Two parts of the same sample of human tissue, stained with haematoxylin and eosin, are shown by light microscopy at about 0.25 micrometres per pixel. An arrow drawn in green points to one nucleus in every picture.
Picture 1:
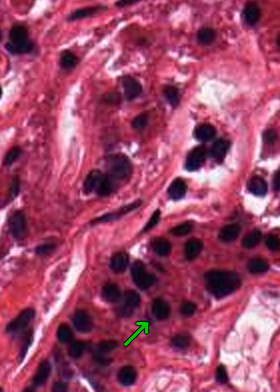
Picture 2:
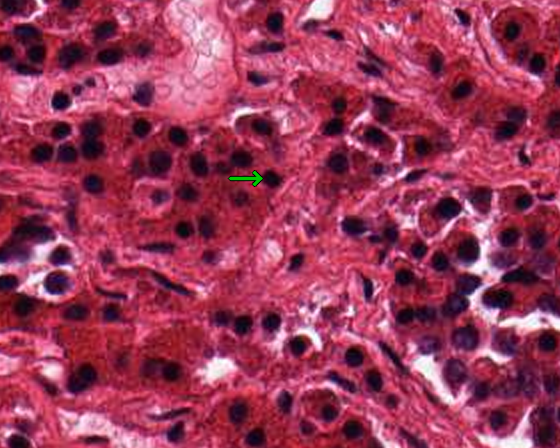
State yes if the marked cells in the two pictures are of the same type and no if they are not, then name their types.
Yes, both are anterior pituitary cells.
